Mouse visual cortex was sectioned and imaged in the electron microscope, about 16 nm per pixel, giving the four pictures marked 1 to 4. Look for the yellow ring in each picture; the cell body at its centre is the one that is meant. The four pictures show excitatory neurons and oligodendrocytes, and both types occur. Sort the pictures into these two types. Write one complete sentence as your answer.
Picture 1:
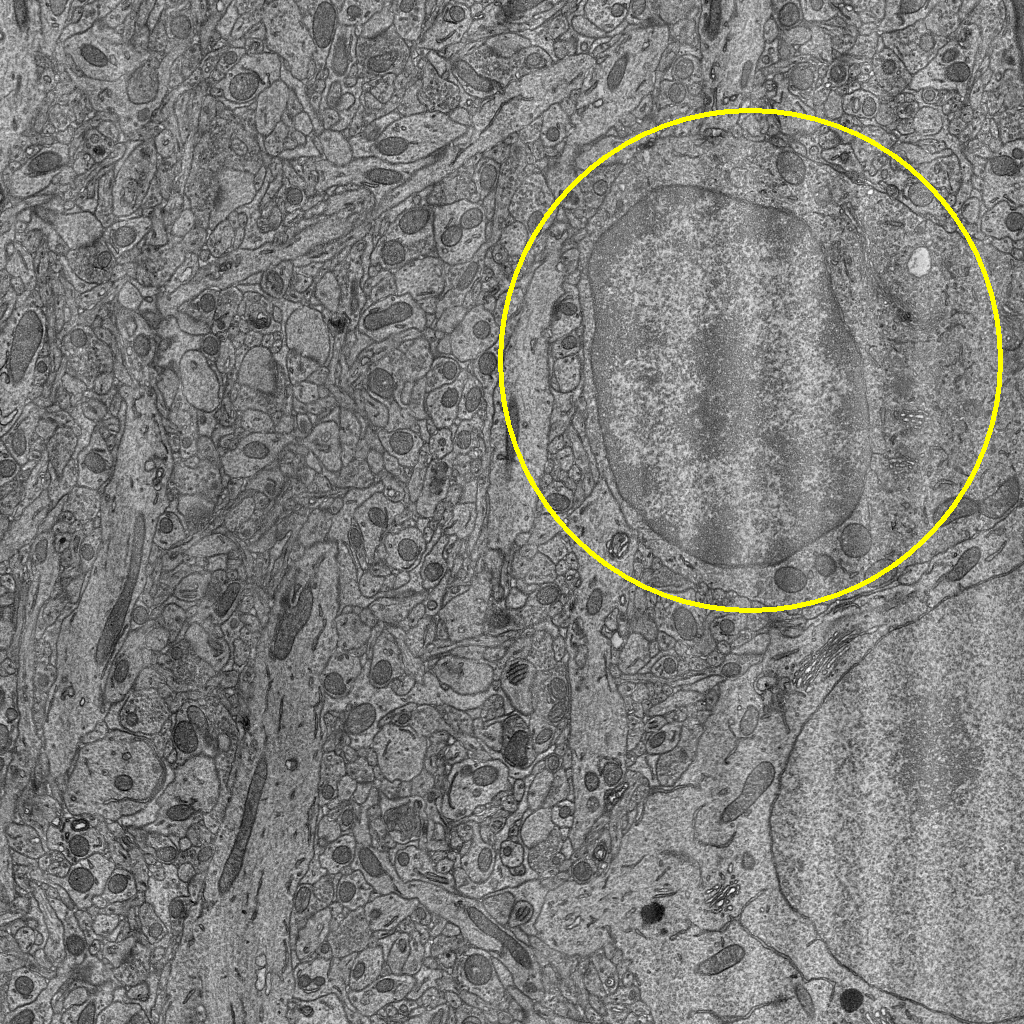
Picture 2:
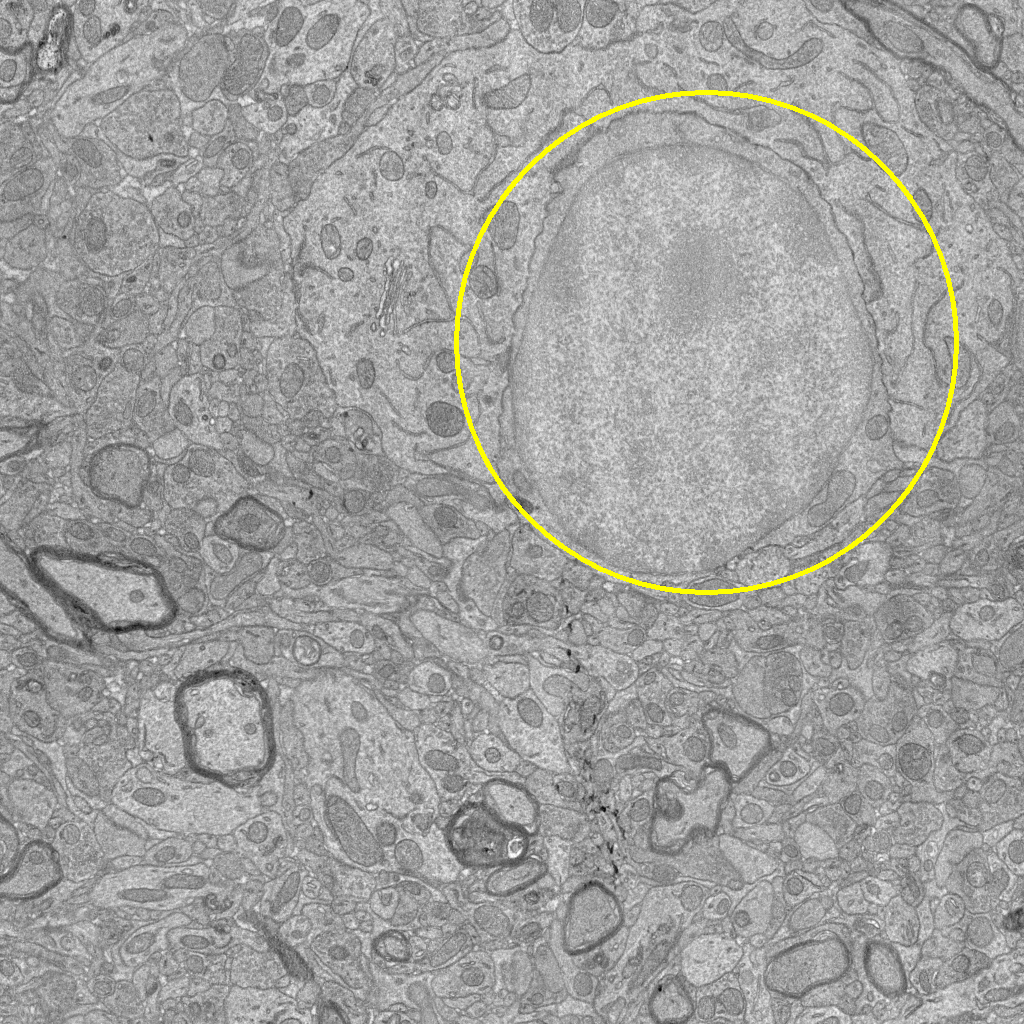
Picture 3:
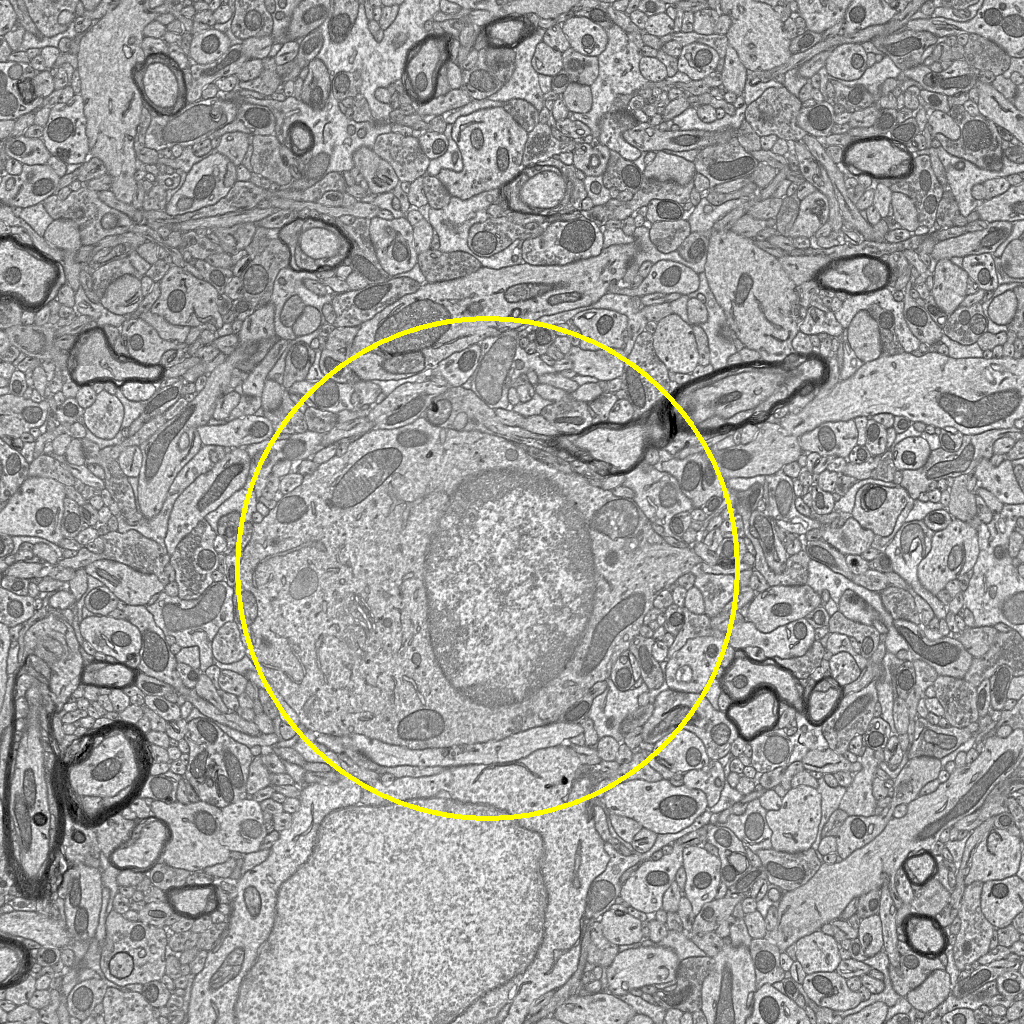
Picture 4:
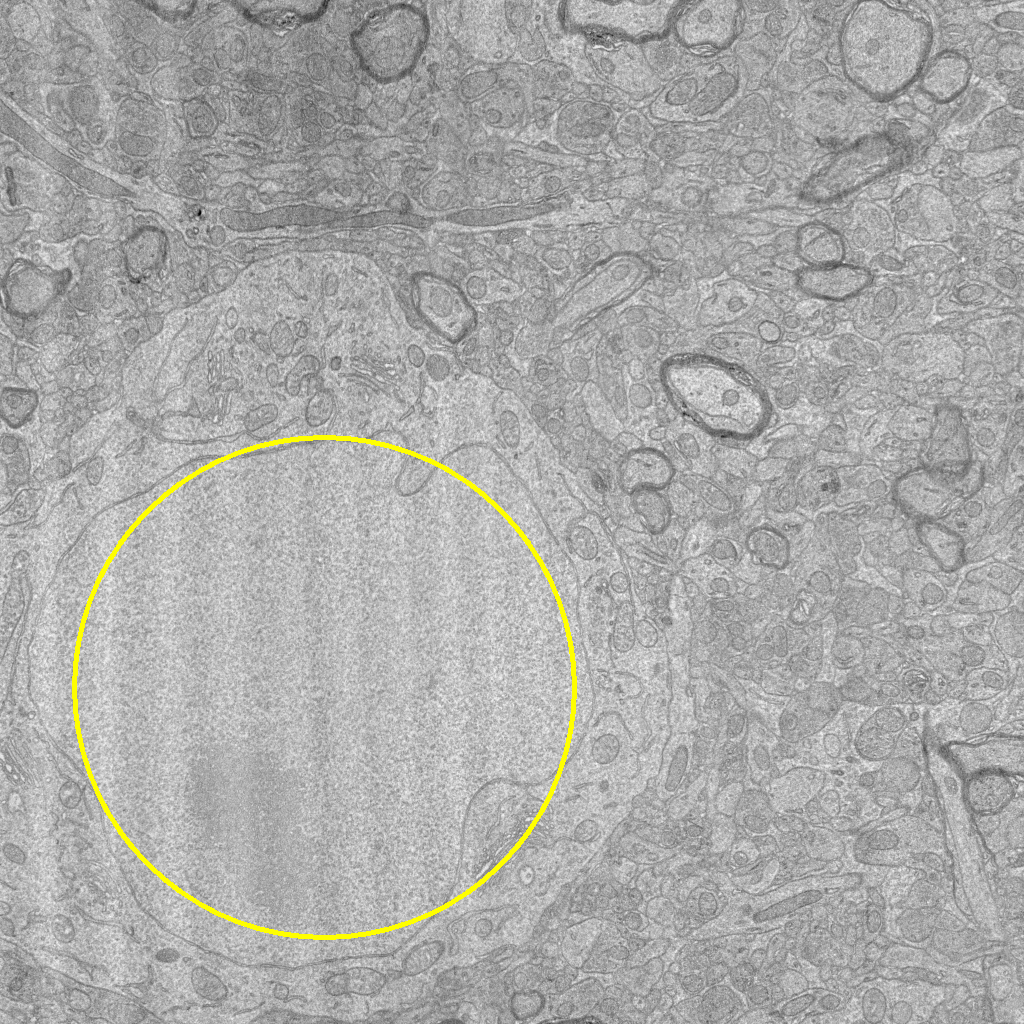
Picture 4 shows an excitatory neuron; pictures 1, 2 and 3 show oligodendrocytes.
